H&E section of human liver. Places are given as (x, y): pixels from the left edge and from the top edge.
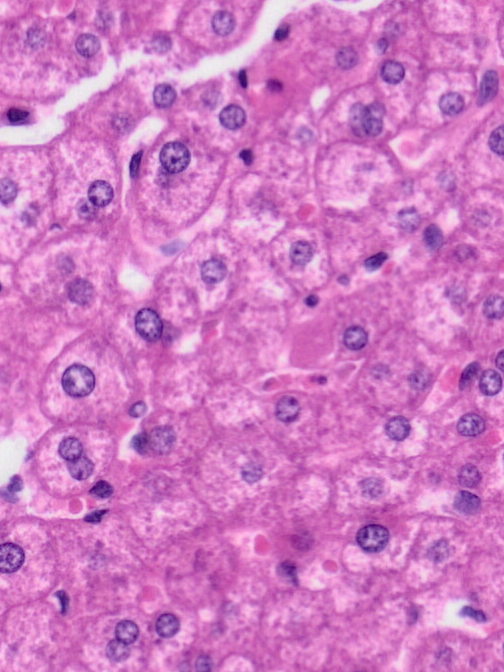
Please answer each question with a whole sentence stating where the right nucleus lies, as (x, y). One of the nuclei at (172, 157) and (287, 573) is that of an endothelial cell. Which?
The nucleus of an endothelial cell lies at (287, 573), not at the other position.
